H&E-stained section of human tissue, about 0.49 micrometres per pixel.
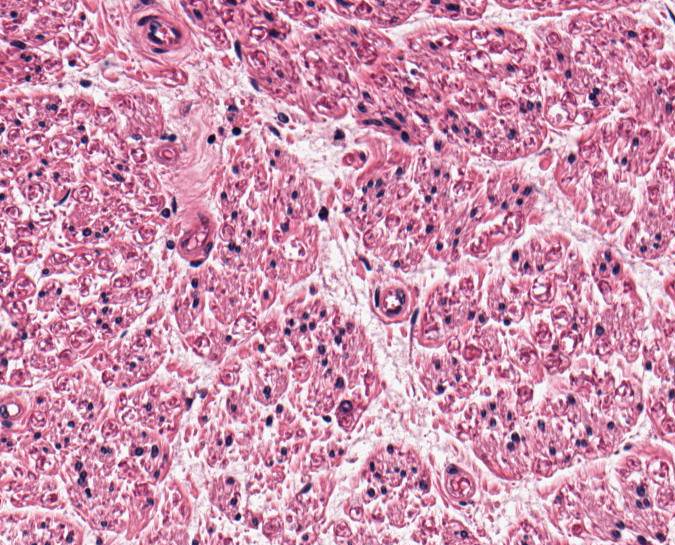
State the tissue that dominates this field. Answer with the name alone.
nerve fascicle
